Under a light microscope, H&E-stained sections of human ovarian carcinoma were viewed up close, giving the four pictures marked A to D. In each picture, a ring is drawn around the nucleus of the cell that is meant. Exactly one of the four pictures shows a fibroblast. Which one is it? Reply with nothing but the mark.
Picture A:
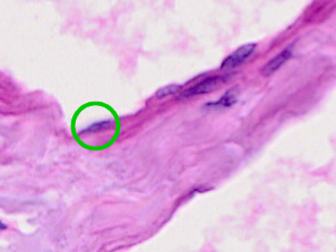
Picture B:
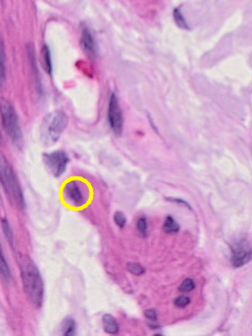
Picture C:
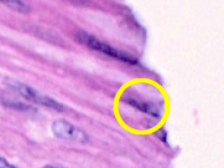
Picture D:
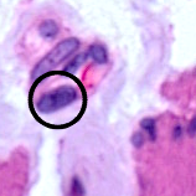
C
